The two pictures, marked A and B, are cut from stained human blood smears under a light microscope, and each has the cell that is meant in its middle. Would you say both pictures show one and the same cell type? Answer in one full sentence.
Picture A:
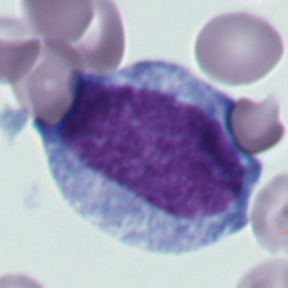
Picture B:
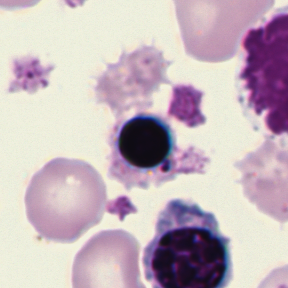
No. Picture A shows a promyelocyte, but picture B shows a normoblast.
